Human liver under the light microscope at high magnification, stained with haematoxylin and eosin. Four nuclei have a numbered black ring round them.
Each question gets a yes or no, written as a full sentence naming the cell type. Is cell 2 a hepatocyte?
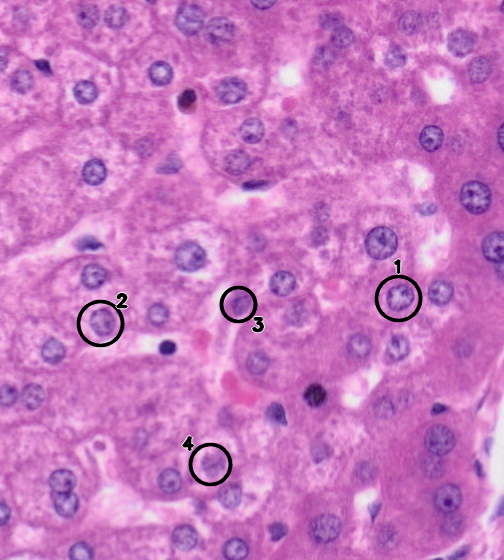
Yes, the numbered cell 2 is a hepatocyte.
